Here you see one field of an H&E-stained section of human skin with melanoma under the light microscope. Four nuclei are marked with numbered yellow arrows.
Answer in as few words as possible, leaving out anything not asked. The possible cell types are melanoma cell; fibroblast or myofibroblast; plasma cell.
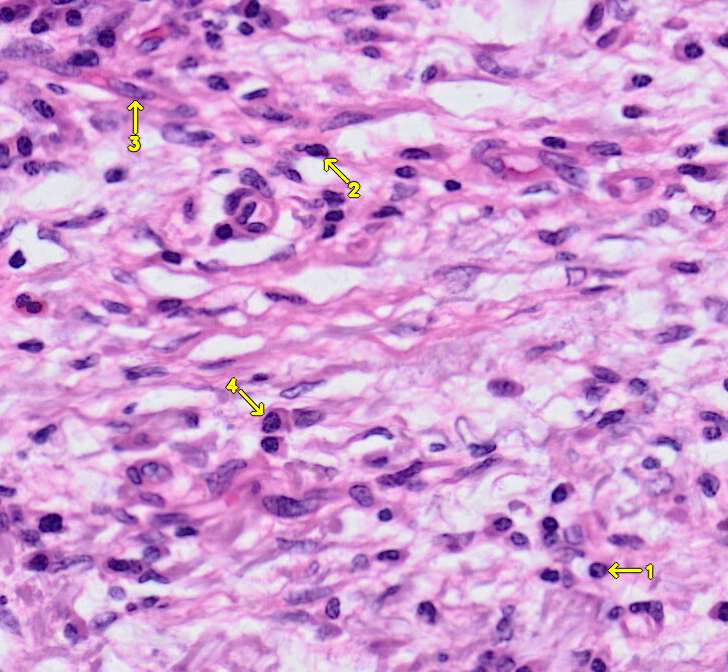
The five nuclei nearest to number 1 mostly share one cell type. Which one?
fibroblast or myofibroblast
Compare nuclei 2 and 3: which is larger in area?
3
